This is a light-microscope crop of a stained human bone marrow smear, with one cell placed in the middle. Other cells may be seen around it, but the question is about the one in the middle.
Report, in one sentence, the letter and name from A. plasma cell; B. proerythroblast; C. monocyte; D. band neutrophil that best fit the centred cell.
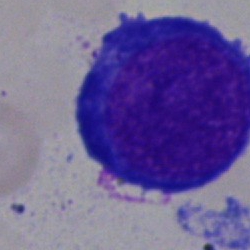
According to option B, which is correct, the cell in the middle is a proerythroblast.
